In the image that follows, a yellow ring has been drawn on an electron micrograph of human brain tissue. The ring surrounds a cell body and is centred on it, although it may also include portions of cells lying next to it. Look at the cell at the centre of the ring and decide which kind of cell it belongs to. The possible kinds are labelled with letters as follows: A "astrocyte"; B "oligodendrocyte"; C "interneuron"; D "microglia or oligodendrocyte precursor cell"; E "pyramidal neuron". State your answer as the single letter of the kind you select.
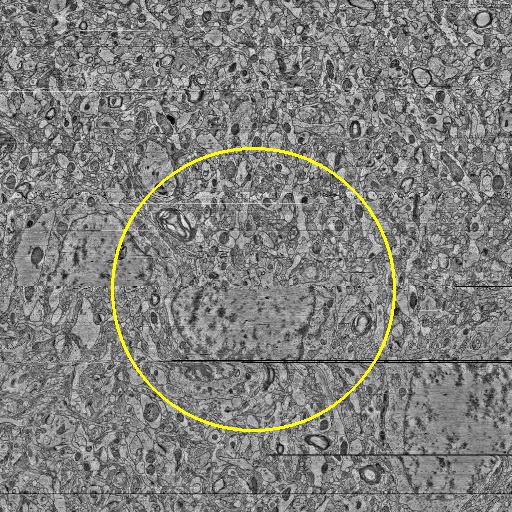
C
